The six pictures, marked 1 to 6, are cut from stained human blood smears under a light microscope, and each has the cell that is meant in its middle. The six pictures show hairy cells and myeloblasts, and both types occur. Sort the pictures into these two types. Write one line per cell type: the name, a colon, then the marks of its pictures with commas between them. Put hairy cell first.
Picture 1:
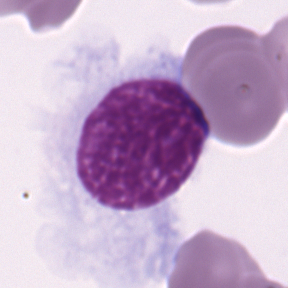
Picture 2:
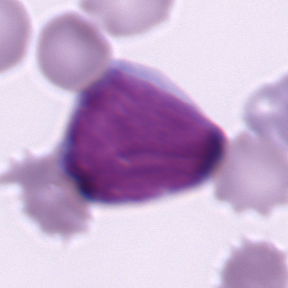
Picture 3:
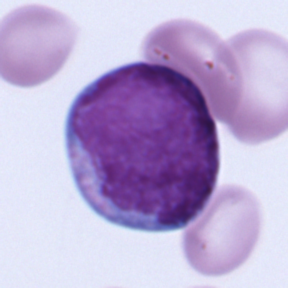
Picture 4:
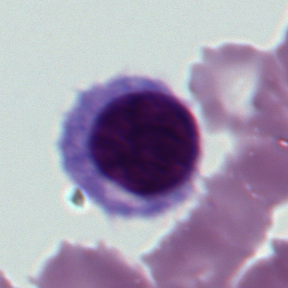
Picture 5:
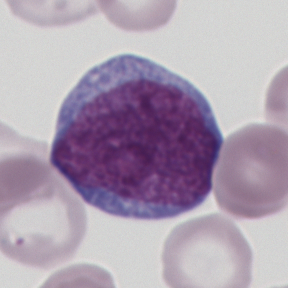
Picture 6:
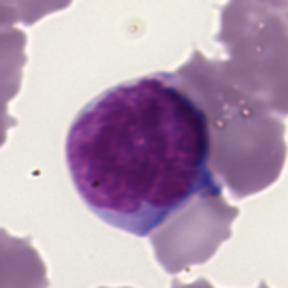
hairy cell: 1, 4
myeloblast: 2, 3, 5, 6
